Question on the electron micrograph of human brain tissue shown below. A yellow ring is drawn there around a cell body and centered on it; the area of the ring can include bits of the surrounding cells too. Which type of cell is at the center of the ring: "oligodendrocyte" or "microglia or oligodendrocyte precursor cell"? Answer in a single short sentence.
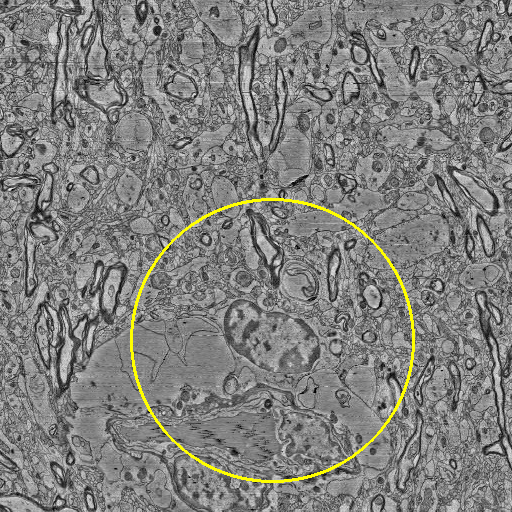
The ring is centered on a microglial cell or oligodendrocyte precursor cell.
